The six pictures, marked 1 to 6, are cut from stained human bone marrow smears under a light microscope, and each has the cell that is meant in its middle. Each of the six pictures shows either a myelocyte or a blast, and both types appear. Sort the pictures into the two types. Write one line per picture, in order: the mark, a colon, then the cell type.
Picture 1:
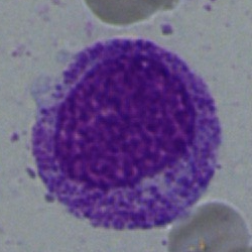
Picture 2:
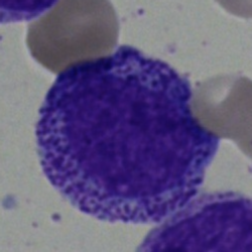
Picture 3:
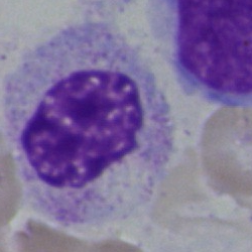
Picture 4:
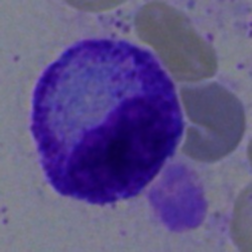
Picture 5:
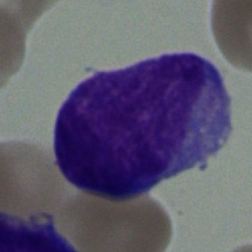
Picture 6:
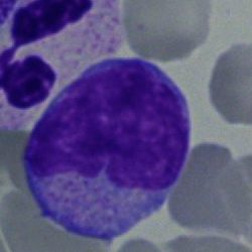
1: myelocyte
2: myelocyte
3: myelocyte
4: myelocyte
5: blast
6: blast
